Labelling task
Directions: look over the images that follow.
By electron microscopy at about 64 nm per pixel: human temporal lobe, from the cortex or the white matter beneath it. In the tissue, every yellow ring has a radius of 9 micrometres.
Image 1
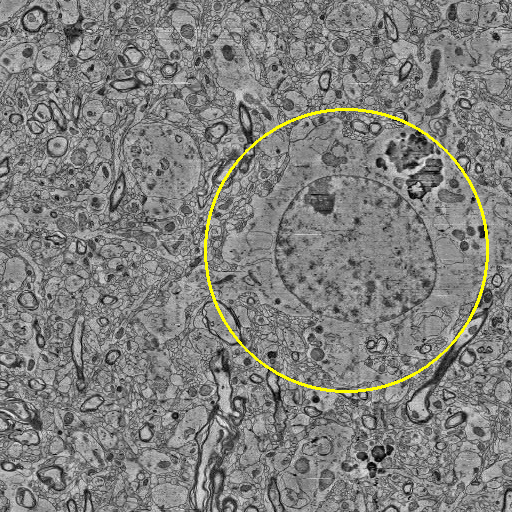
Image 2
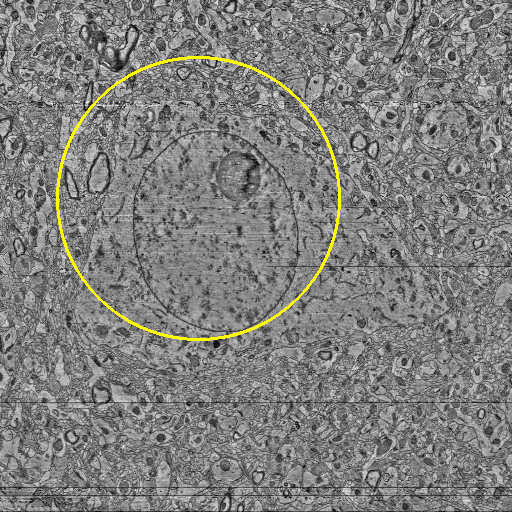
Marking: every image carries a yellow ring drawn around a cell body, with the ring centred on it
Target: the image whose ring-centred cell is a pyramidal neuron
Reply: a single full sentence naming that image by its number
The requested cell sits at the ring's centre in Image 2.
